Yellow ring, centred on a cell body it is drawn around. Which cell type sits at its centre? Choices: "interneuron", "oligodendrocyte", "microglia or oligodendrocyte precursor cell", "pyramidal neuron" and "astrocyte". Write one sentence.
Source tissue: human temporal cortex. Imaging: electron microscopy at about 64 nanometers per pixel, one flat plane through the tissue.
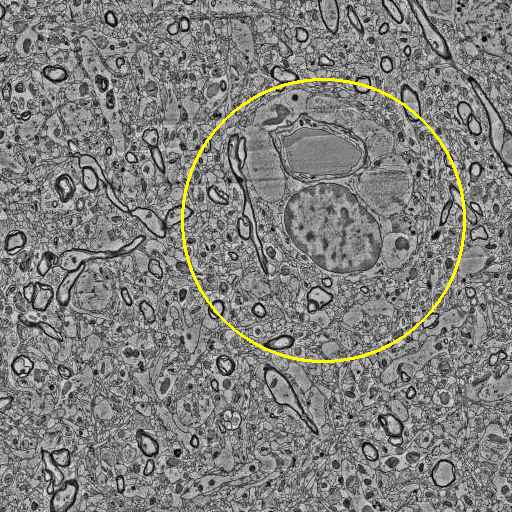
At the centre of the ring sits a microglial cell or oligodendrocyte precursor cell.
